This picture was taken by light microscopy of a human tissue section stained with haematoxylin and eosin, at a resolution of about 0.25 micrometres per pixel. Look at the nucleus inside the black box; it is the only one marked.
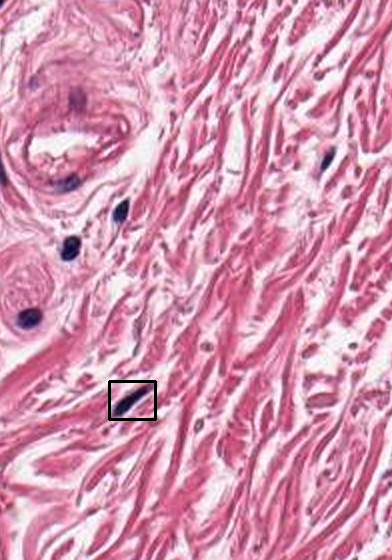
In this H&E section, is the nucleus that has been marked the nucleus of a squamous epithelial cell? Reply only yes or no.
no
